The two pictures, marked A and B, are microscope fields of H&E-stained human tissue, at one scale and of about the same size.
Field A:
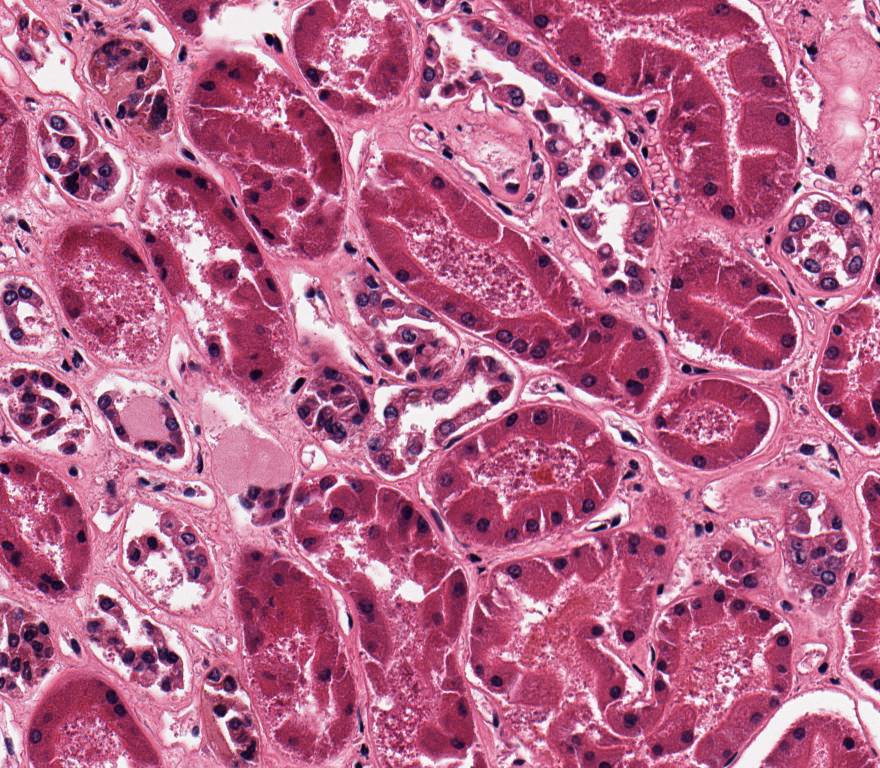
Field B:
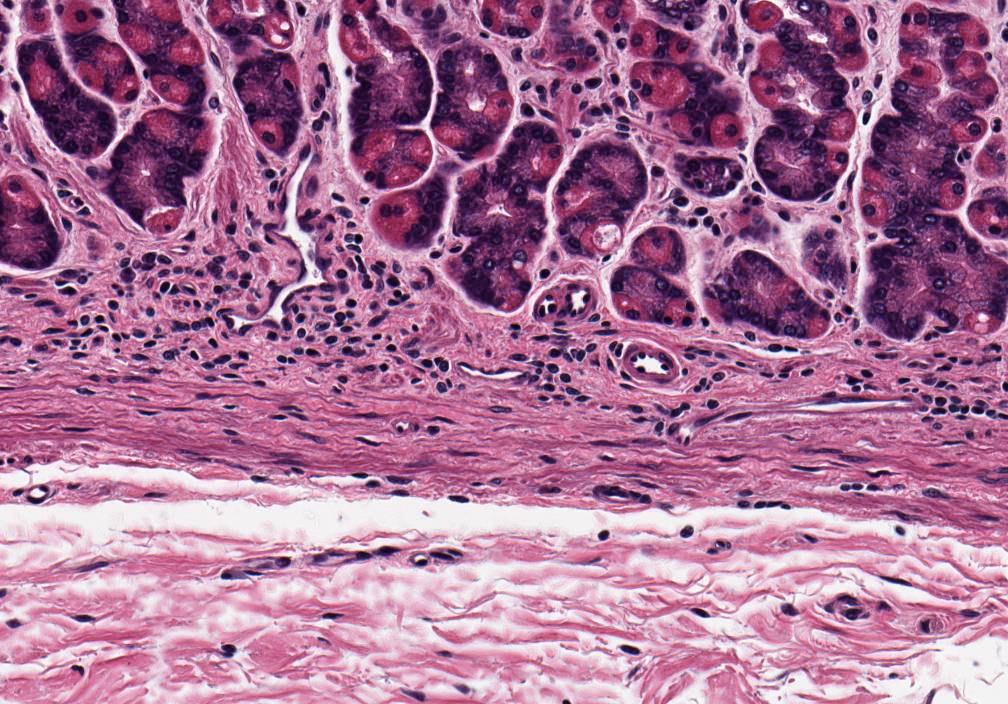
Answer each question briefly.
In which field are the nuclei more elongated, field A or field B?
B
